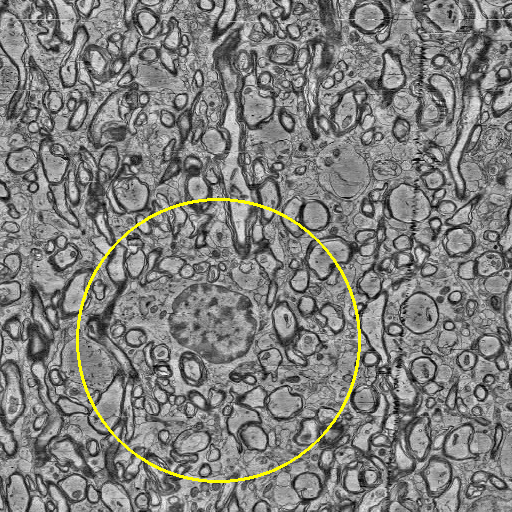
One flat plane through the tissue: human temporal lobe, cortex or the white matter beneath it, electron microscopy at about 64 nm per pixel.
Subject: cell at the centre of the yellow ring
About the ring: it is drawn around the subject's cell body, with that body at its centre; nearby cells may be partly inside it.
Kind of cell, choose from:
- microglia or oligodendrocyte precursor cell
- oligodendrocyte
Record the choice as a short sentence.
The subject cell is a microglial cell or oligodendrocyte precursor cell.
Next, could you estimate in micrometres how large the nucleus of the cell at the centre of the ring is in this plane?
About 5 micrometers across, in this plane.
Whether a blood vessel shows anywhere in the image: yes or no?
No, the image shows no blood vessel.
